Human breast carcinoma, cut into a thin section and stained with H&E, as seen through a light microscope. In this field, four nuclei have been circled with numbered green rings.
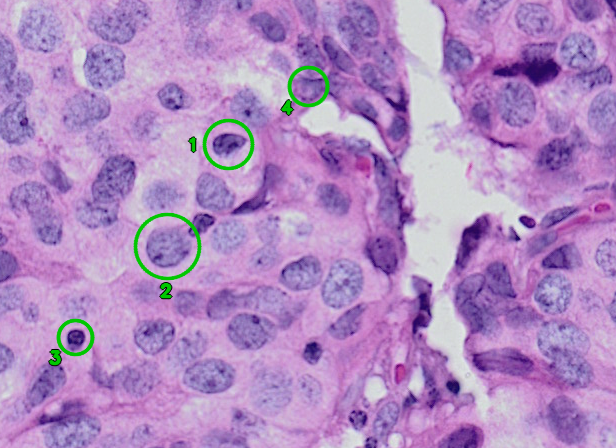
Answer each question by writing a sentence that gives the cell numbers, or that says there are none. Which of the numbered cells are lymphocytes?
Cell 3 represents a lymphocyte, and no other numbered cell does.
